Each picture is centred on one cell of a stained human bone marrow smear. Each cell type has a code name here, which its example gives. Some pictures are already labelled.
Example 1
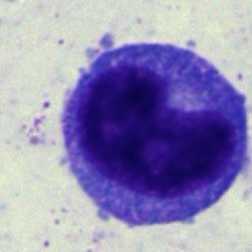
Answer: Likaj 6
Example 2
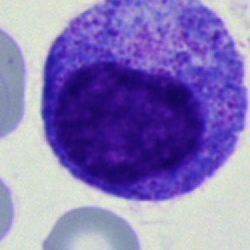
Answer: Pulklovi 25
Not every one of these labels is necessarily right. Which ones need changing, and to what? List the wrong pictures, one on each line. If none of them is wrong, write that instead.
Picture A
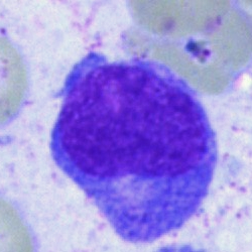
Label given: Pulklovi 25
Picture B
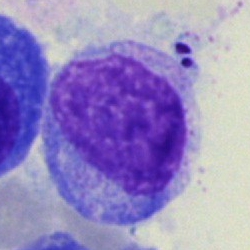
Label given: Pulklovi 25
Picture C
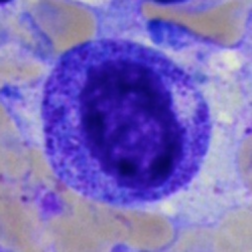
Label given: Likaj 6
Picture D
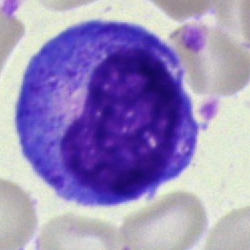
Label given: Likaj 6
C is labelled Likaj 6; correct label: Pulklovi 25
D is labelled Likaj 6; correct label: Pulklovi 25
